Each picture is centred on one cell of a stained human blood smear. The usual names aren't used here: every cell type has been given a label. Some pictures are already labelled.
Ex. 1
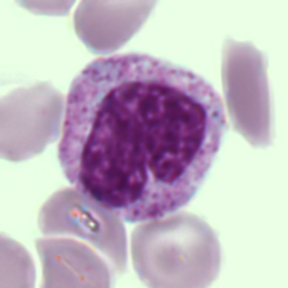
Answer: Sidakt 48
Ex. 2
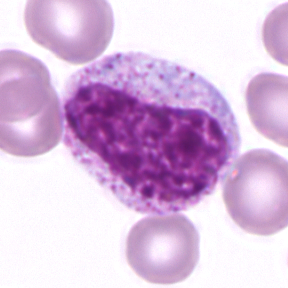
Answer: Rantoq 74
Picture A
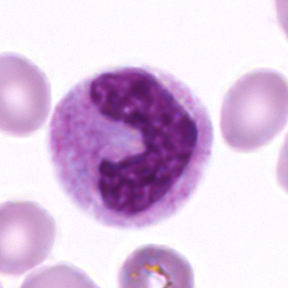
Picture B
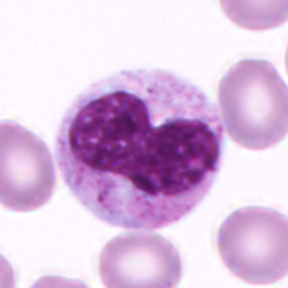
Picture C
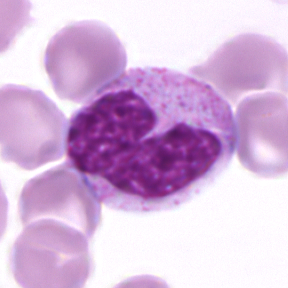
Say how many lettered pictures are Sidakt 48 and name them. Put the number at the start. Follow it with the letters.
2: A, C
